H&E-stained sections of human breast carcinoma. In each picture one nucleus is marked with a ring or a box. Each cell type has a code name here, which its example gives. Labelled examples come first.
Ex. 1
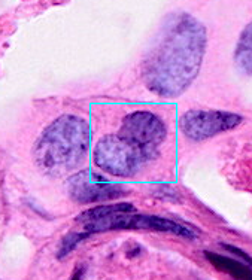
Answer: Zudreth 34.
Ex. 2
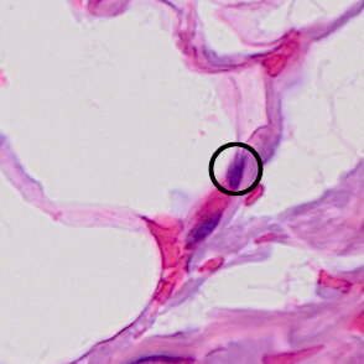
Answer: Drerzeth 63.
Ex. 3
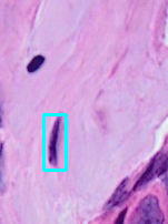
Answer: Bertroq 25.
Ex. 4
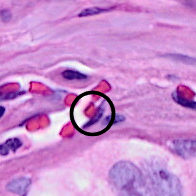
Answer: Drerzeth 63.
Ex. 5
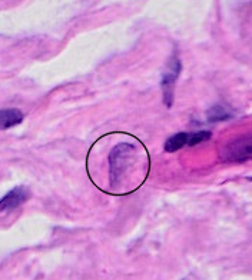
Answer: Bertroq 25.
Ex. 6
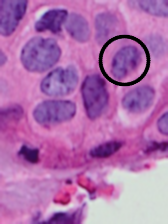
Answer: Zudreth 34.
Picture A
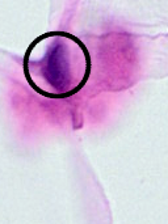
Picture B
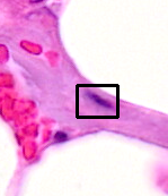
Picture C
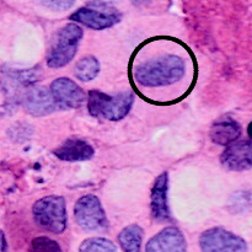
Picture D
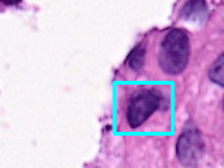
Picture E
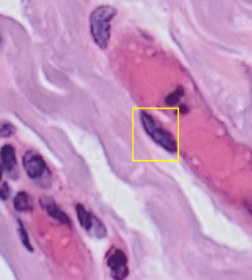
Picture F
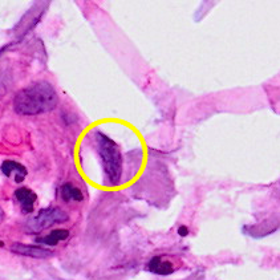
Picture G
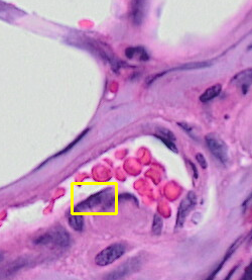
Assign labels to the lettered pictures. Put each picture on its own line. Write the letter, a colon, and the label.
A: Bertroq 25.
B: Bertroq 25.
C: Zudreth 34.
D: Zudreth 34.
E: Drerzeth 63.
F: Bertroq 25.
G: Drerzeth 63.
